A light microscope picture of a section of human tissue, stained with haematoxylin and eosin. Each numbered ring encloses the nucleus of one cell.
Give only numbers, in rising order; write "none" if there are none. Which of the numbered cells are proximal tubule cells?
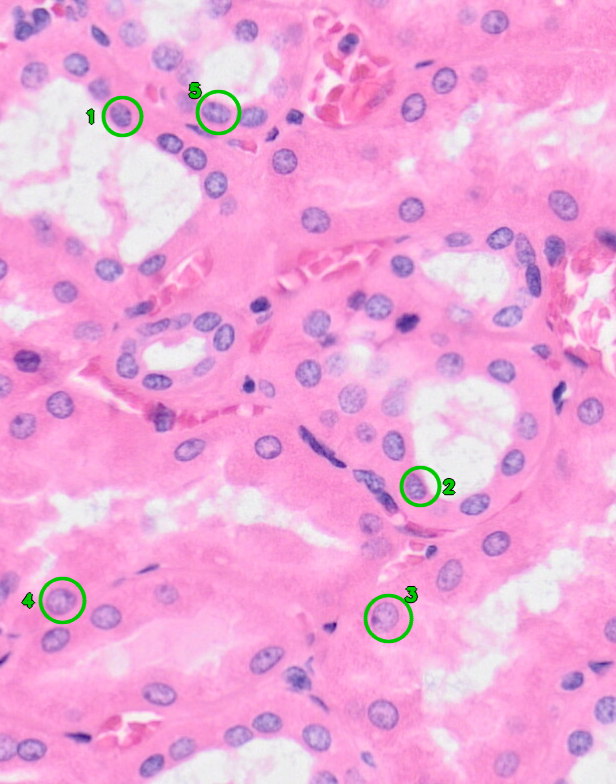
3, 4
